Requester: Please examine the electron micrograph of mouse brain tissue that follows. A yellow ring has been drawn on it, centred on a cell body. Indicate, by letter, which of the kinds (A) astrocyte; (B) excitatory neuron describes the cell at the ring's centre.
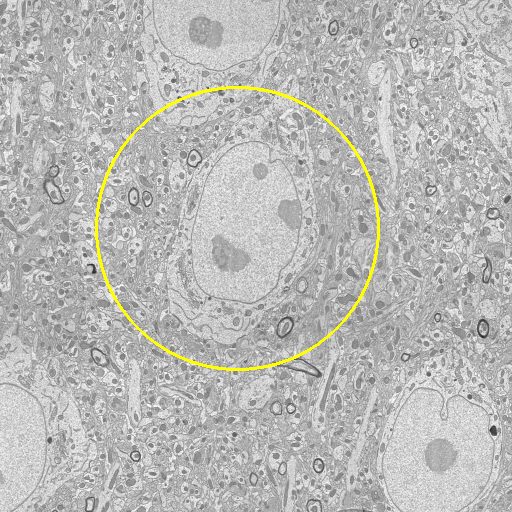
B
